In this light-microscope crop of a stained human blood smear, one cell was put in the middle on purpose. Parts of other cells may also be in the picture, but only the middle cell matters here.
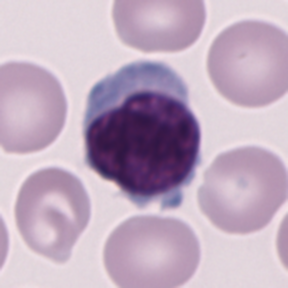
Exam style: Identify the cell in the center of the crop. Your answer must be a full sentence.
The middle of this crop holds a typical lymphocyte.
